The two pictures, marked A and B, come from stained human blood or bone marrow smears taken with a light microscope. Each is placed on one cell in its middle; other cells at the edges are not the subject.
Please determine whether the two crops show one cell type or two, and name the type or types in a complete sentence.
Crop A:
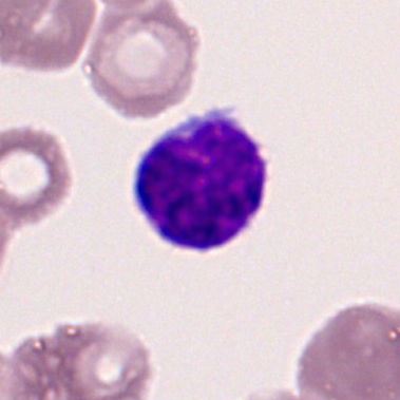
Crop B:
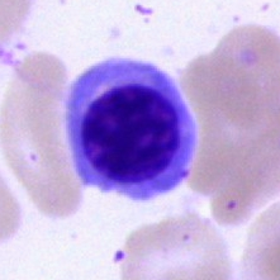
No, crop B holds an erythroblast, while crop A holds a lymphocyte.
